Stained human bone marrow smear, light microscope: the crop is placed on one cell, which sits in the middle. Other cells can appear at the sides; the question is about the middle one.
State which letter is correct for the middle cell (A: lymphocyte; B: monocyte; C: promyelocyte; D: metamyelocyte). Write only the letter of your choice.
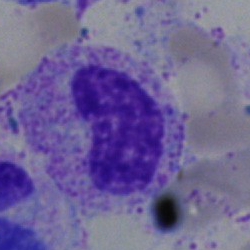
D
